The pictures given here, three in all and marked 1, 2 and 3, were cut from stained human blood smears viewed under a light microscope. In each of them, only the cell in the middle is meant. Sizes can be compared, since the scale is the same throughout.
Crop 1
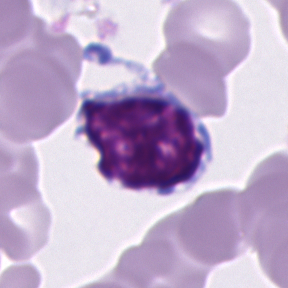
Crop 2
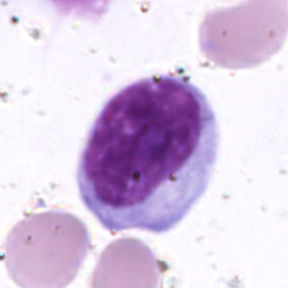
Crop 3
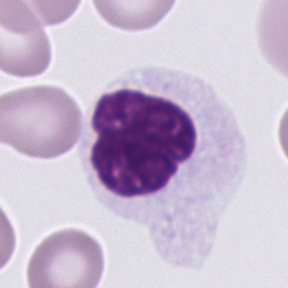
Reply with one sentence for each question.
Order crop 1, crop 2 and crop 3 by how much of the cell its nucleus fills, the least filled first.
From the least filled to the most, the order is 3, 2, 1.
